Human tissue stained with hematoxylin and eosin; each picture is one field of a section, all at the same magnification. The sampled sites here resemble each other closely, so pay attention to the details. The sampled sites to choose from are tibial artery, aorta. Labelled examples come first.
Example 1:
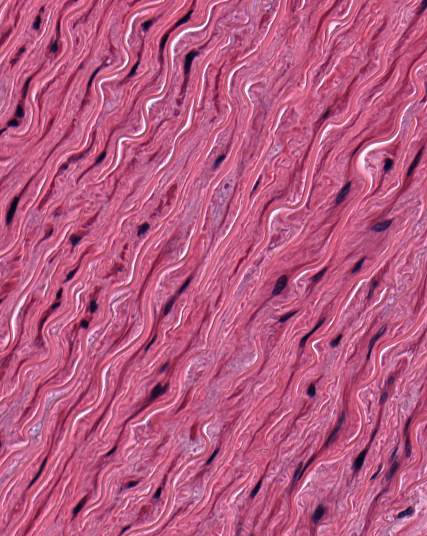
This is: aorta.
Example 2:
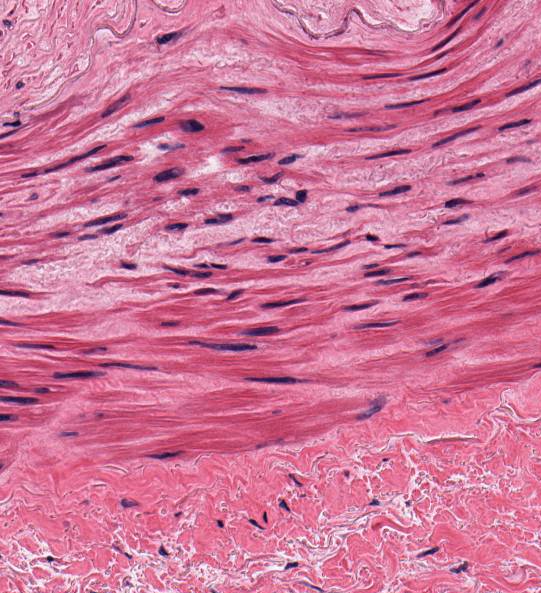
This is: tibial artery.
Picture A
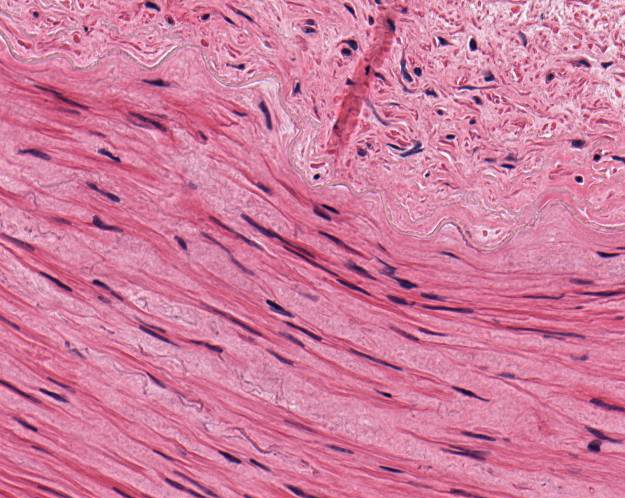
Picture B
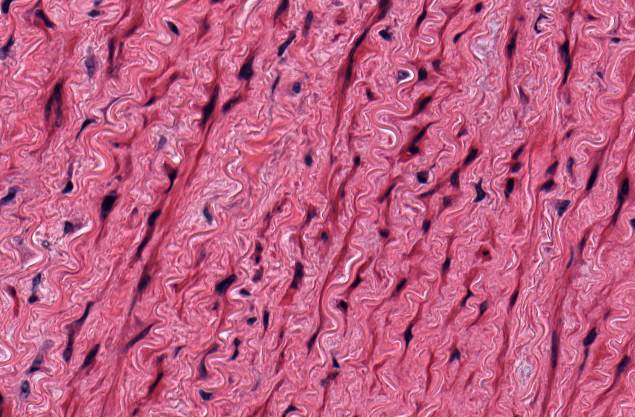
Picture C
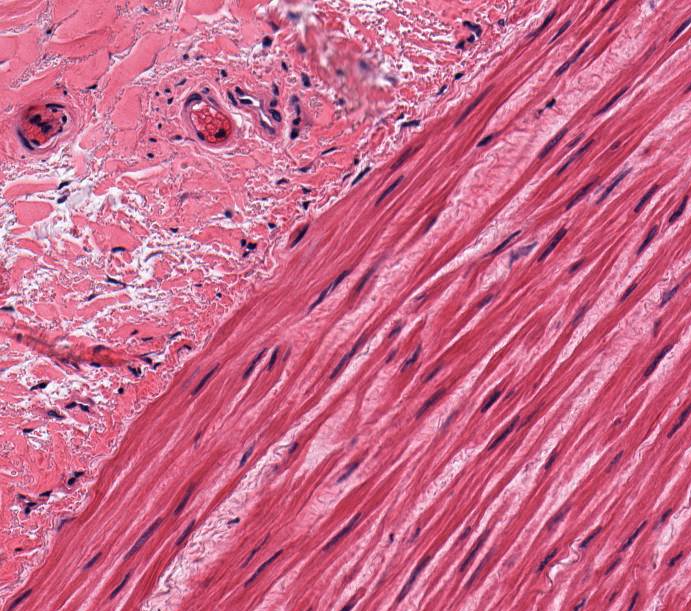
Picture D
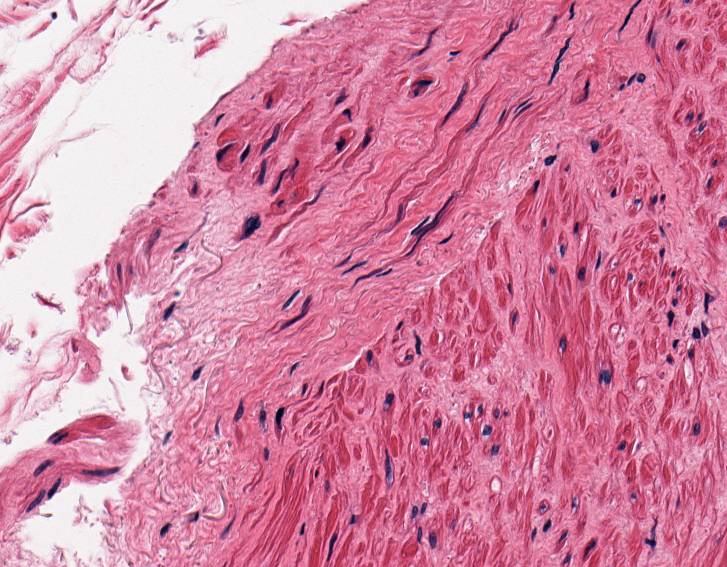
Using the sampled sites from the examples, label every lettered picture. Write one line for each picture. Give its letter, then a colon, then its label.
A: tibial artery.
B: aorta.
C: tibial artery.
D: tibial artery.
